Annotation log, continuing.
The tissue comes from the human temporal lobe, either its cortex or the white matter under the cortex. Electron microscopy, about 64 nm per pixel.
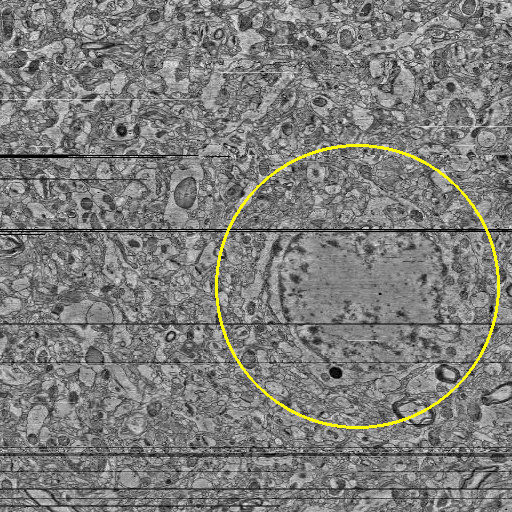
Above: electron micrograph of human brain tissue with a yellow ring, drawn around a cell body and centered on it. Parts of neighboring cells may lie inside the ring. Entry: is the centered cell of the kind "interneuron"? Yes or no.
Yes, the centered cell is of that kind.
